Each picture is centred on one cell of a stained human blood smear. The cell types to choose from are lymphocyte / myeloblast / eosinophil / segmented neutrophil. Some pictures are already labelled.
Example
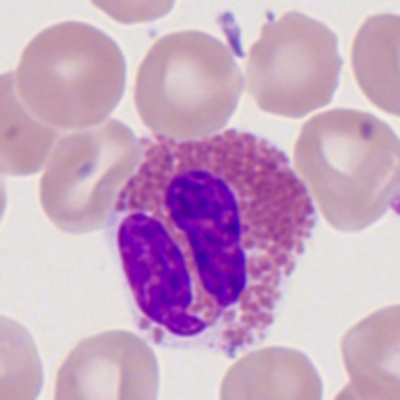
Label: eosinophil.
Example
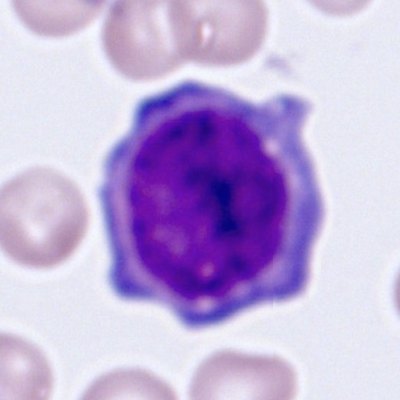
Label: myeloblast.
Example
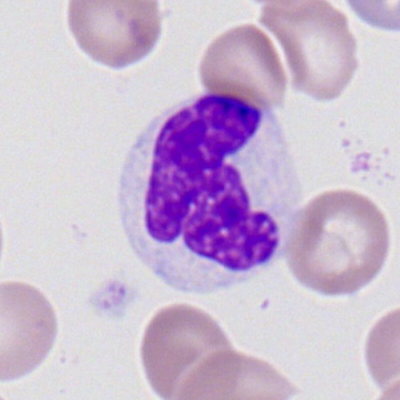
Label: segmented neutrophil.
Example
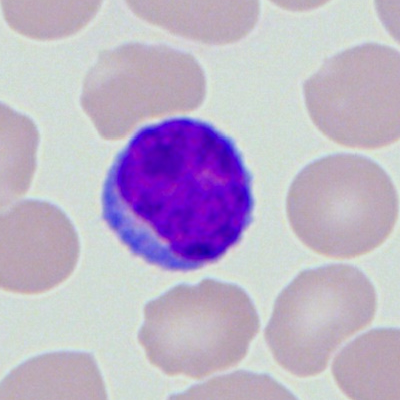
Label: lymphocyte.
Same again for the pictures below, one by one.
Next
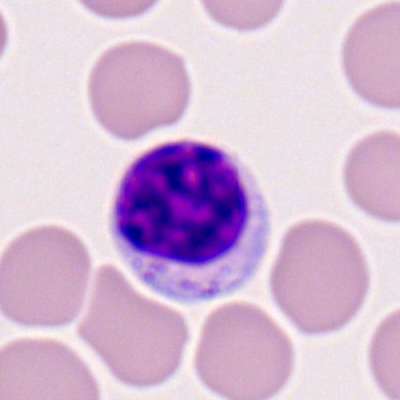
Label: lymphocyte.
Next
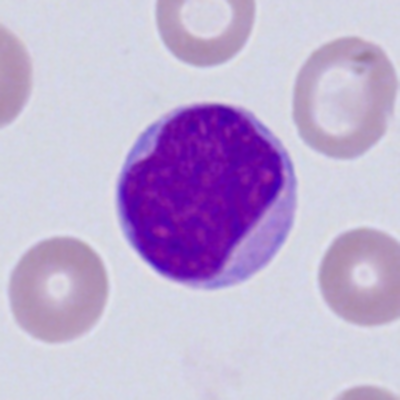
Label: myeloblast.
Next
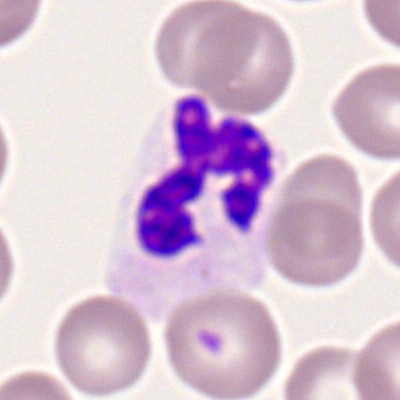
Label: segmented neutrophil.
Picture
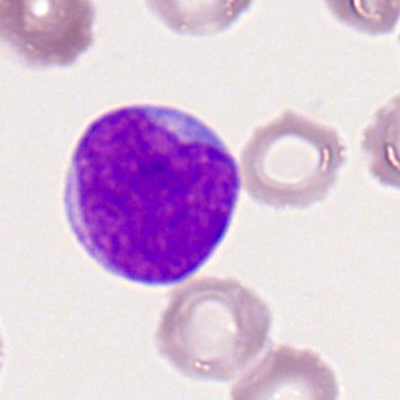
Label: myeloblast.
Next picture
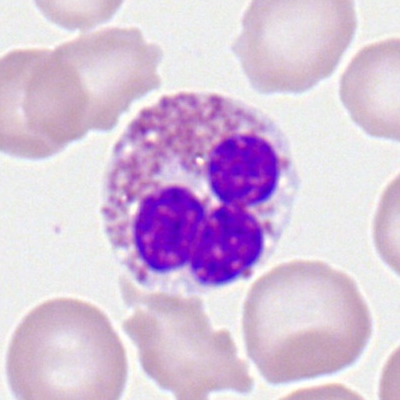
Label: eosinophil.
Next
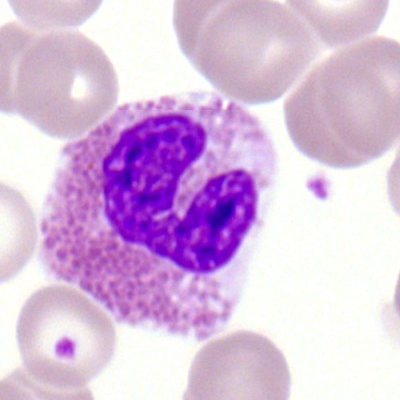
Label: eosinophil.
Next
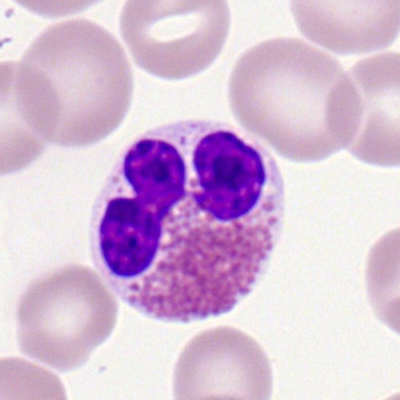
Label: eosinophil.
